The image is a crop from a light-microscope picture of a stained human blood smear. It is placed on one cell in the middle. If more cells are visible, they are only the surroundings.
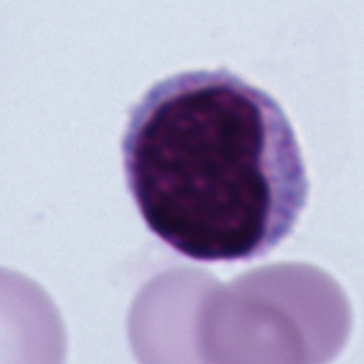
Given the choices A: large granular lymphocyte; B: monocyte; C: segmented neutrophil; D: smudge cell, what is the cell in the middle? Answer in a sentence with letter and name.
In the centre of the crop there is a large granular lymphocyte, making option A correct.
